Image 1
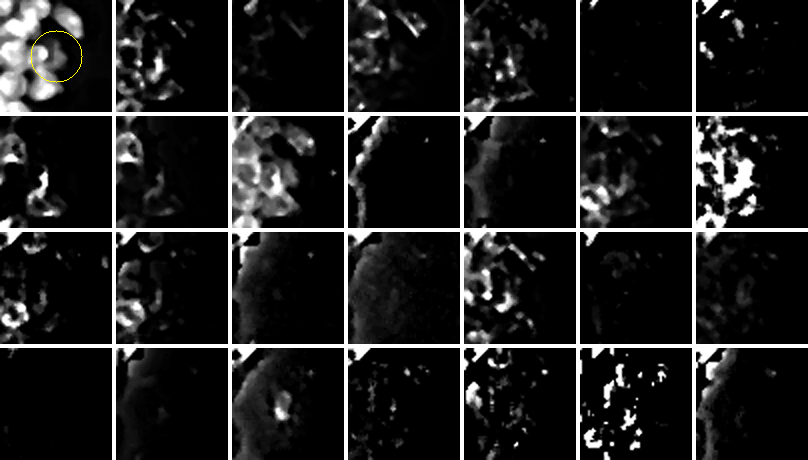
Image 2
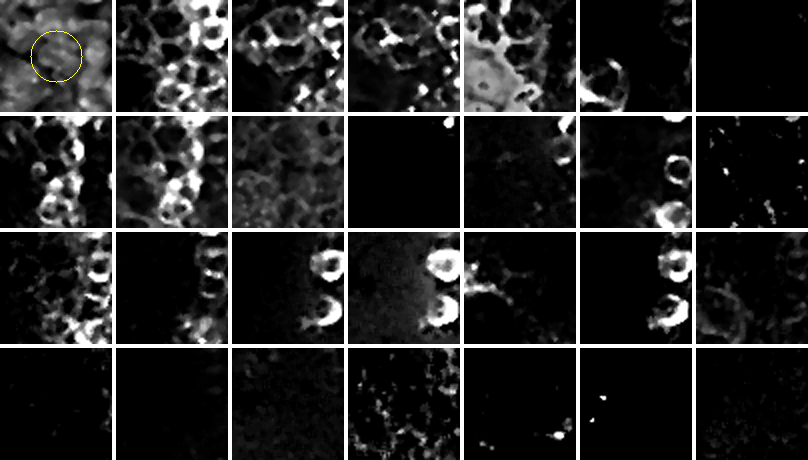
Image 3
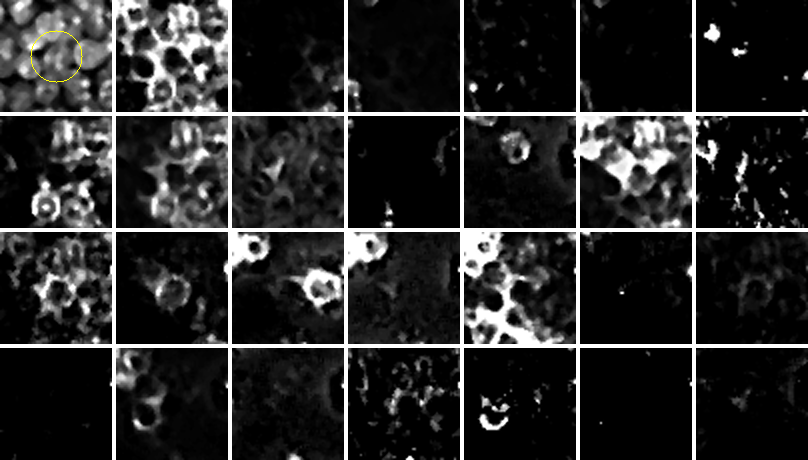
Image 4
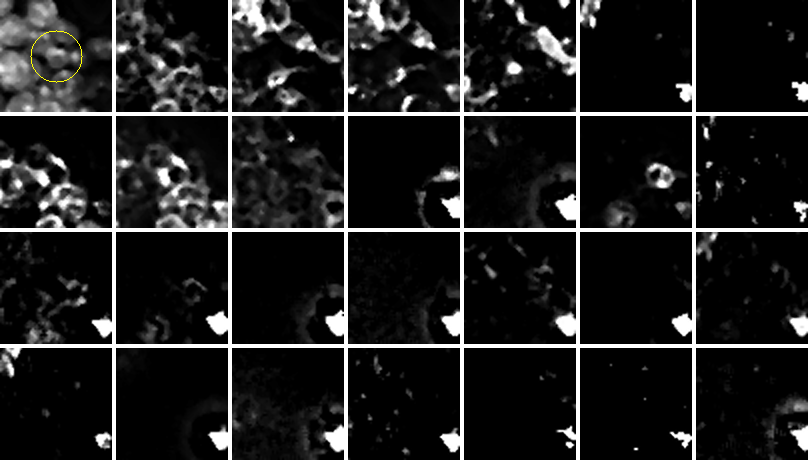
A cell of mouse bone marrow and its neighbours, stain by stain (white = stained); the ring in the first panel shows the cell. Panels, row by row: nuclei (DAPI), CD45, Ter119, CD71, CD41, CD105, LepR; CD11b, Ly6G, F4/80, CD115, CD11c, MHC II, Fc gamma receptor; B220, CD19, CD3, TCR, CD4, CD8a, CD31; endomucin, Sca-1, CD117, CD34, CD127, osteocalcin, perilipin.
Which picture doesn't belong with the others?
Picture 1.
